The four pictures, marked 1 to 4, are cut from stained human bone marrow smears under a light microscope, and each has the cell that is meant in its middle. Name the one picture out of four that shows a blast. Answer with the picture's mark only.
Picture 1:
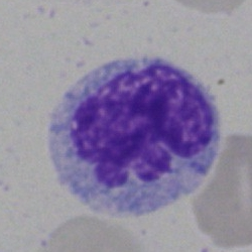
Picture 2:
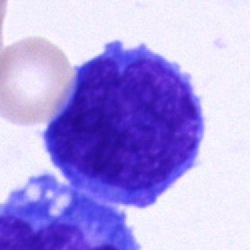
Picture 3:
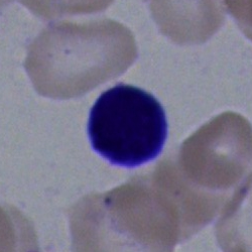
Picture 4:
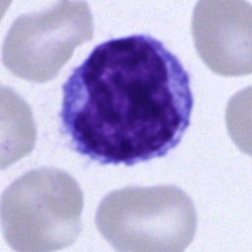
2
